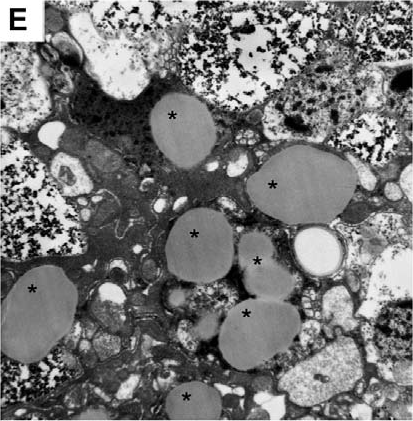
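Electron micrograph of brain tissue centred on glial cytoplasm, which appears as an irregular dark, electron-dense region with scattered small black granules. Embedded in and around this dark cytoplasm are many large round to oval bodies with smooth outlines and homogeneous mid-grey content, lipid droplets, some nearly as wide as the surrounding cell profiles. A few smaller clear, empty-looking round vacuoles are also present. The surrounding field is filled with profiles of pale cell processes, several packed with coarse dark granular particles, and smaller profiles containing organelles and vesicles.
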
